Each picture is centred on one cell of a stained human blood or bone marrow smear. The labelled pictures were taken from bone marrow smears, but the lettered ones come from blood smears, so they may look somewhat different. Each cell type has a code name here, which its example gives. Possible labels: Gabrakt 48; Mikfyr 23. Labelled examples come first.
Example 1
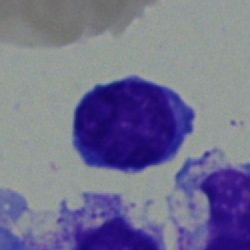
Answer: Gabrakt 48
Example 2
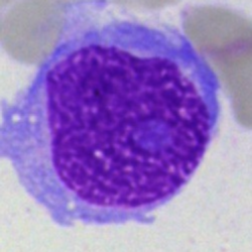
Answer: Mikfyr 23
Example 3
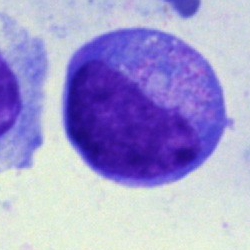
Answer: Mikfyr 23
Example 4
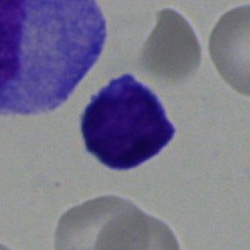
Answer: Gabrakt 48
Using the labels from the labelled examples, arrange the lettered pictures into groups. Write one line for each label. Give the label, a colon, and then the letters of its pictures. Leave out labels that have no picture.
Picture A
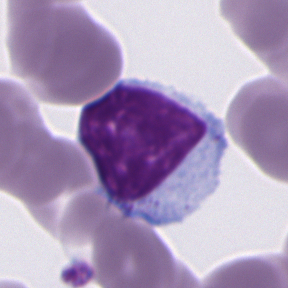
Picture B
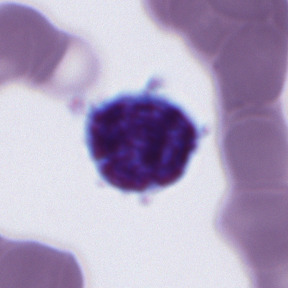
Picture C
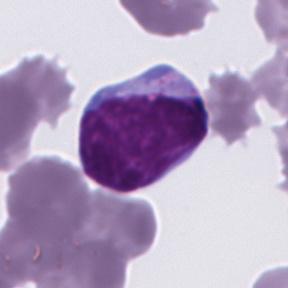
Gabrakt 48: A, B
Mikfyr 23: C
